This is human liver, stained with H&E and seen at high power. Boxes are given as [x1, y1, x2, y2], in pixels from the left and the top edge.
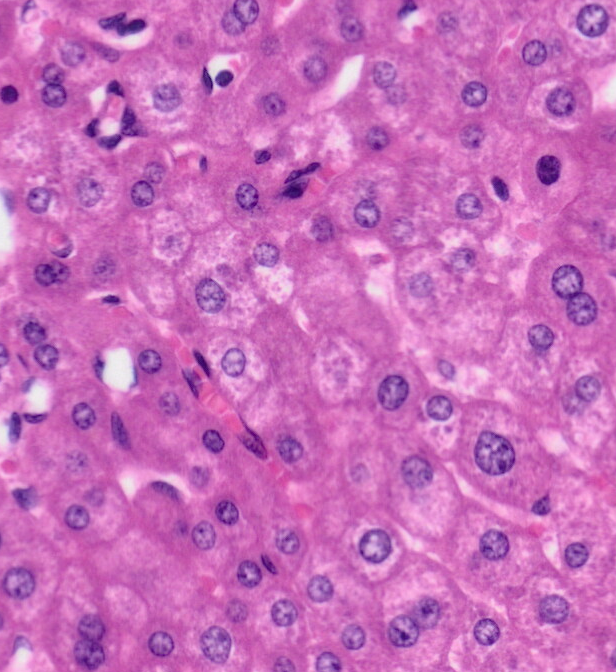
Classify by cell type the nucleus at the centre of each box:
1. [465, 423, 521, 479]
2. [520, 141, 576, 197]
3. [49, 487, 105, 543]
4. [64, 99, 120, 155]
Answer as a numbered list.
1. hepatocyte
2. hepatocyte
3. hepatocyte
4. fibroblast or stellate cell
